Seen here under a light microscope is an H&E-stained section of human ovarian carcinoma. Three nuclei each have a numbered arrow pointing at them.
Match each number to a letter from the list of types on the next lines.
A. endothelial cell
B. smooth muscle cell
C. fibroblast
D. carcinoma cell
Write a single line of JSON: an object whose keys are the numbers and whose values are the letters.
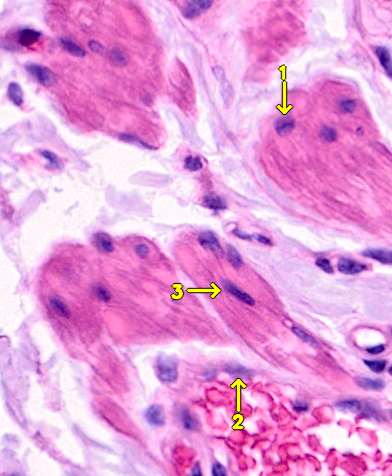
{"1": "B", "2": "A", "3": "B"}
